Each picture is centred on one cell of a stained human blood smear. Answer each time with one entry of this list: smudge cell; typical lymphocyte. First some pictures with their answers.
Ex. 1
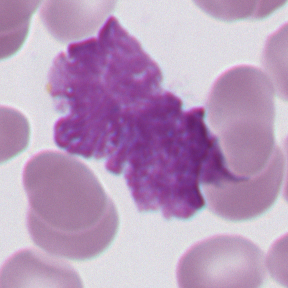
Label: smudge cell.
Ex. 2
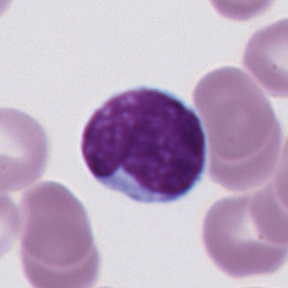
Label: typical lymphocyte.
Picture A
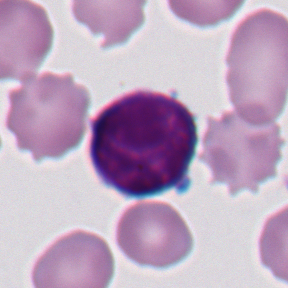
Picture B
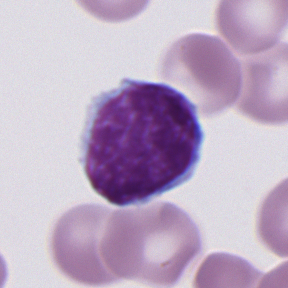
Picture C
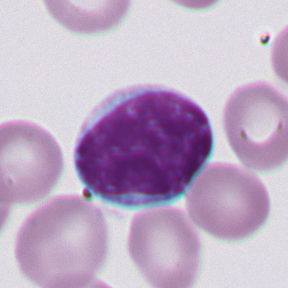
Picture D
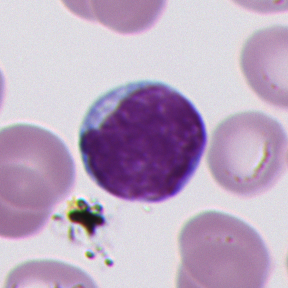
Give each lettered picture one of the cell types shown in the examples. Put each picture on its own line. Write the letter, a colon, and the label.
A: typical lymphocyte.
B: typical lymphocyte.
C: typical lymphocyte.
D: typical lymphocyte.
